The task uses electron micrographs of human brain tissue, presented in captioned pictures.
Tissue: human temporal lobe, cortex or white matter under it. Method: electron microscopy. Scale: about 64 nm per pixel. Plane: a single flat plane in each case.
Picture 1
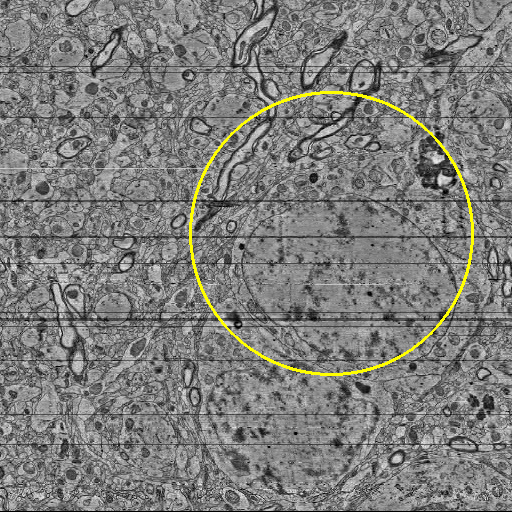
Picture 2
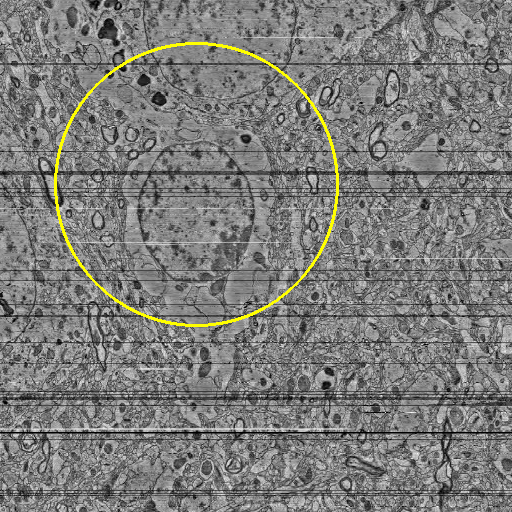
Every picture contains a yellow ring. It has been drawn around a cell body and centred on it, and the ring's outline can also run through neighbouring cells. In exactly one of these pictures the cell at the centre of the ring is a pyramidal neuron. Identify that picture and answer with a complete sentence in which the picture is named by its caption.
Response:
The ring in Picture 1 is centred on that kind of cell.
